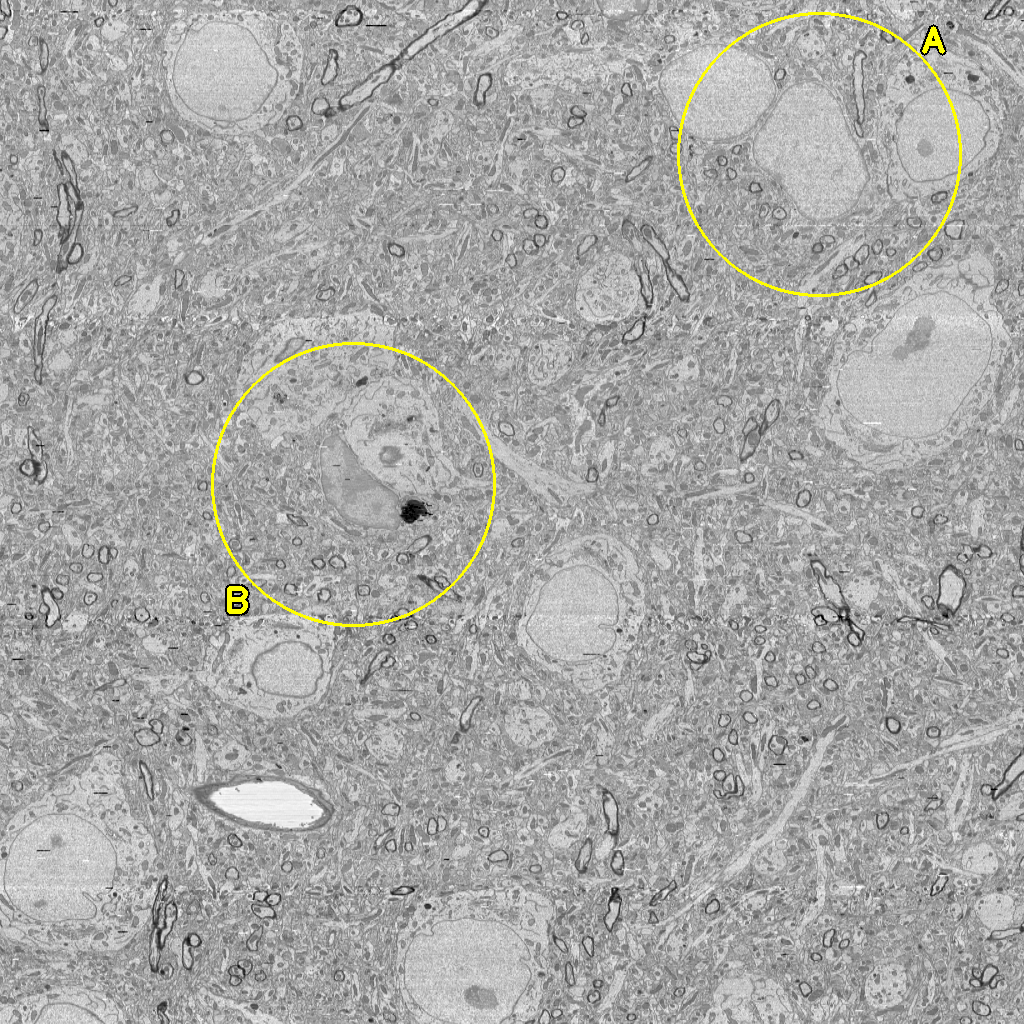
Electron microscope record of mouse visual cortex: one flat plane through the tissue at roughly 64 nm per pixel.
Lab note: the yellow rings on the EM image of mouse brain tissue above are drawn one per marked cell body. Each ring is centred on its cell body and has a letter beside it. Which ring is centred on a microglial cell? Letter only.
B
